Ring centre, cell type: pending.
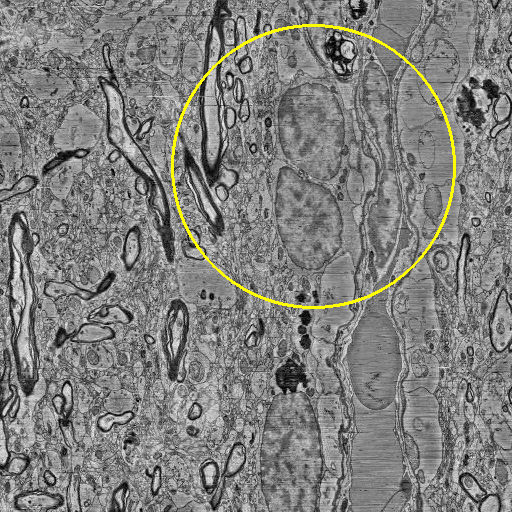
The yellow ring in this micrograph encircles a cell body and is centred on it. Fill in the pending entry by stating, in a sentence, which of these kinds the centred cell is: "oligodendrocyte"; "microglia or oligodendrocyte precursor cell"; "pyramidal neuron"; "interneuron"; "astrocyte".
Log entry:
The centred cell is recorded as an oligodendrocyte.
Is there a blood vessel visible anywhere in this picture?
Yes, a vessel appears in the picture.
